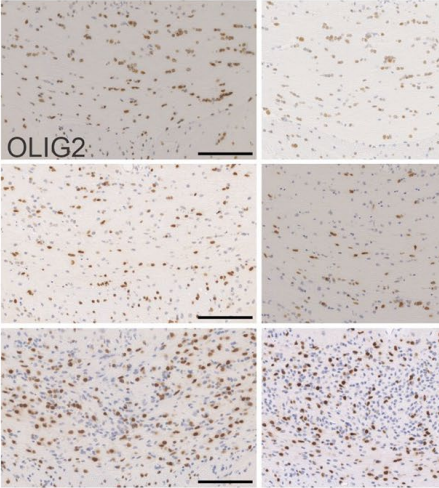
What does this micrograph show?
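The brown nuclei are small and oval, and many are lined up in short rows that follow the direction of the nerve fibres. Between them lie paler blue nuclei of cells that do not take up the brown stain. The background neuropil is pale and finely streaked along the fibre direction. The fields differ clearly in how many brown nuclei they hold.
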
